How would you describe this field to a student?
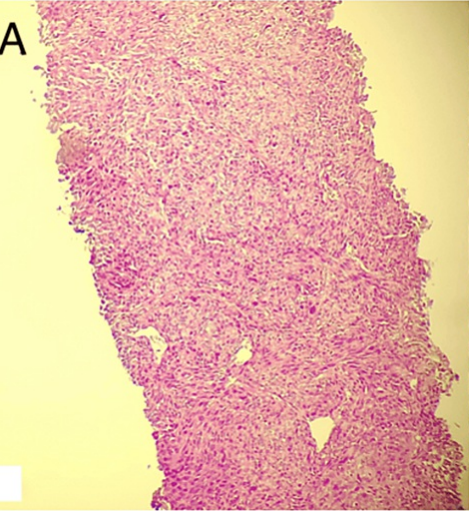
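This is a narrow biopsy core of tumour tissue filled with a dense proliferation of cells stained pink and purple. The cells are arranged in diffuse sheets with no organized glandular or airway architecture. Only a few small clefts and spaces interrupt the continuous cellular mass.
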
